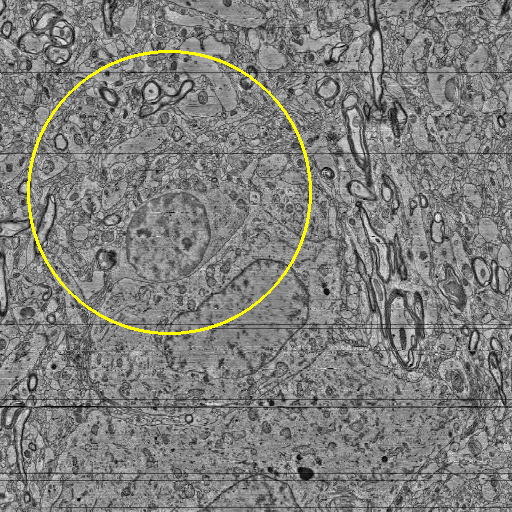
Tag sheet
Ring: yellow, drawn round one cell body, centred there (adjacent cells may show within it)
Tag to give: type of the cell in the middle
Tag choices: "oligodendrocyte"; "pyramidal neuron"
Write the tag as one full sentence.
I tag the cell centred in the yellow ring as an oligodendrocyte in this picture.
